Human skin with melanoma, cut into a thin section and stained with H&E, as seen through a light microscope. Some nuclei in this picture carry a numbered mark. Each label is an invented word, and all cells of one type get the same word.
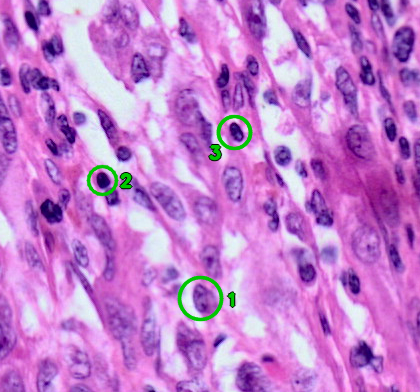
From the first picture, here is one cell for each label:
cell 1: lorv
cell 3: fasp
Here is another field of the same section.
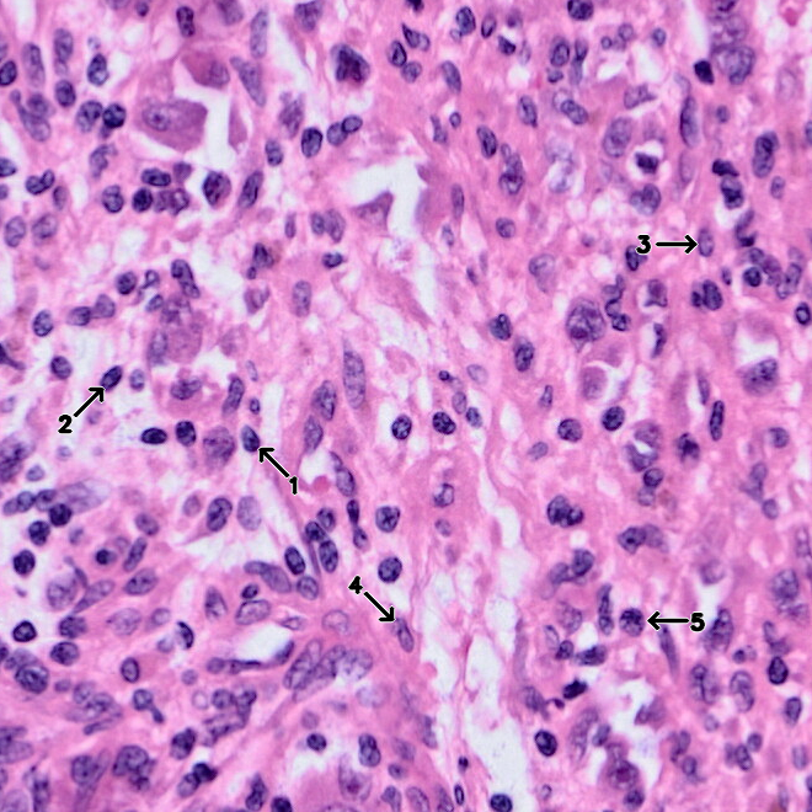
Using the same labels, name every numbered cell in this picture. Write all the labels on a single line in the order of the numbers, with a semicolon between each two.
fasp; fasp; lorv; lorv; fasp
